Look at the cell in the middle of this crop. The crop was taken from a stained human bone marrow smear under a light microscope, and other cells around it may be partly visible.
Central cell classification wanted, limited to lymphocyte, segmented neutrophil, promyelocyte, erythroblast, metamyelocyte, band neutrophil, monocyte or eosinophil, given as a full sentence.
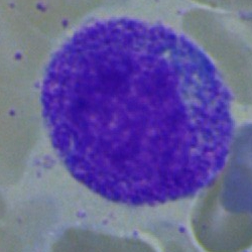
Seen at the centre of the crop is a promyelocyte.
